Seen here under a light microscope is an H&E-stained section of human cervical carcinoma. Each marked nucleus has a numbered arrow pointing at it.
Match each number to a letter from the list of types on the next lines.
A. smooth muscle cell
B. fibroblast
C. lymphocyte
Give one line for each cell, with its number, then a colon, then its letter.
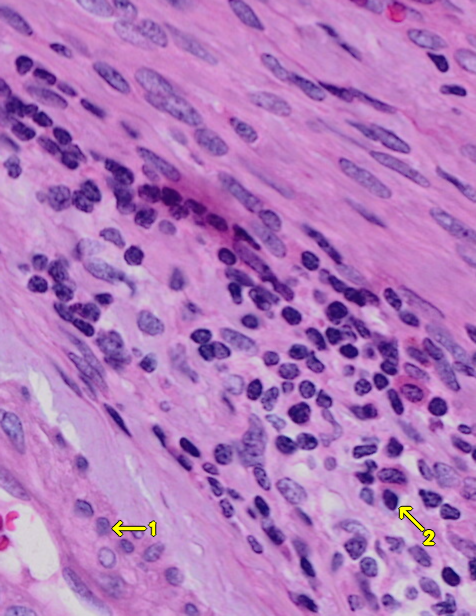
1: A
2: C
